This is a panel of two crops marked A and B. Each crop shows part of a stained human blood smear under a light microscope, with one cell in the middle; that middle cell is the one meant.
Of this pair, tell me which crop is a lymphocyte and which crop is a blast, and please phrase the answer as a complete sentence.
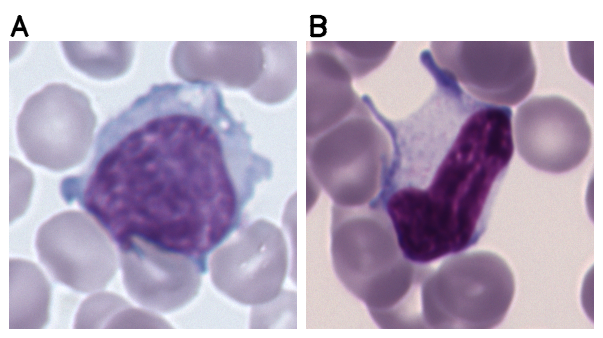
Taken crop by crop, crop A is a blast and crop B is a lymphocyte.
